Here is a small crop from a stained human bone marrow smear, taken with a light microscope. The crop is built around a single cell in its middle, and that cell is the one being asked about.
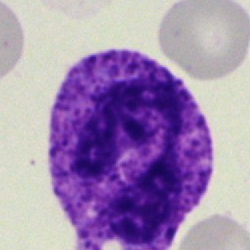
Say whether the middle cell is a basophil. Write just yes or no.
yes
